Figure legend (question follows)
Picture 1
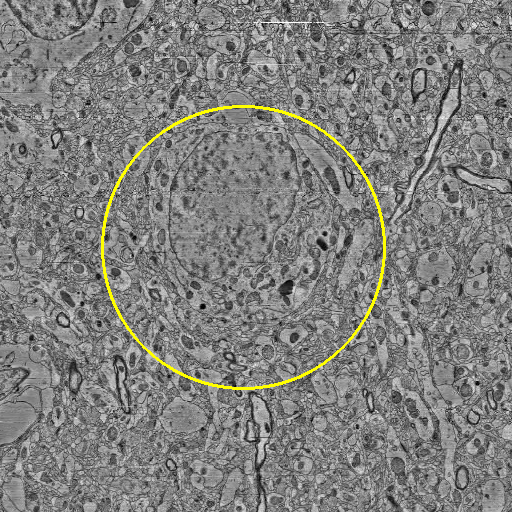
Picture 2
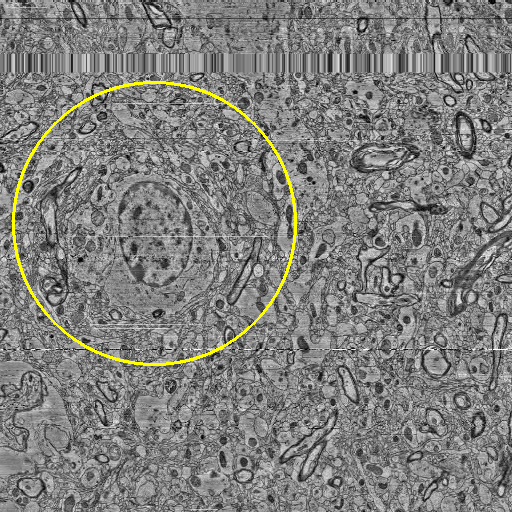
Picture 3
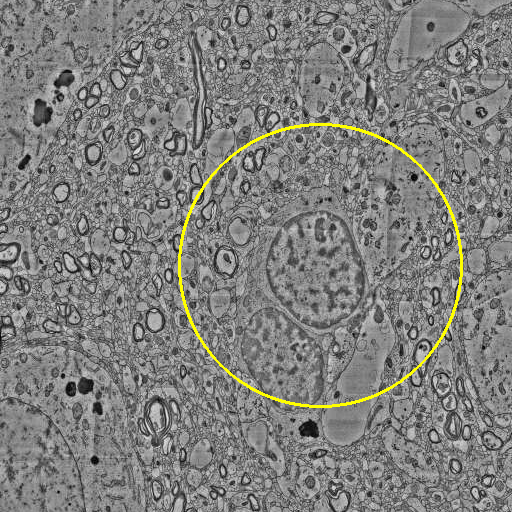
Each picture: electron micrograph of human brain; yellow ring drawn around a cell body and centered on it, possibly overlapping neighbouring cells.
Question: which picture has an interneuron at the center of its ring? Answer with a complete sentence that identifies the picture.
Picture 1 has it at the center of its ring.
